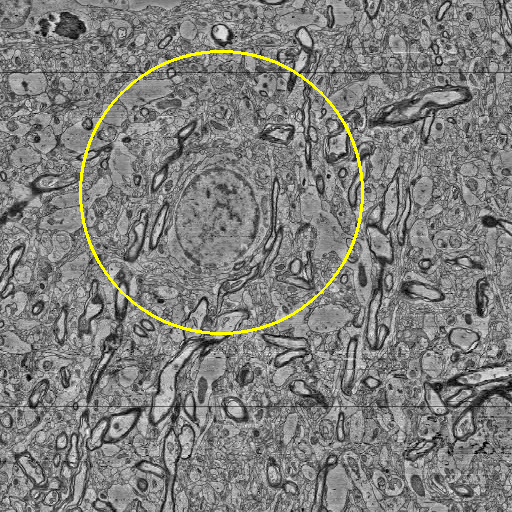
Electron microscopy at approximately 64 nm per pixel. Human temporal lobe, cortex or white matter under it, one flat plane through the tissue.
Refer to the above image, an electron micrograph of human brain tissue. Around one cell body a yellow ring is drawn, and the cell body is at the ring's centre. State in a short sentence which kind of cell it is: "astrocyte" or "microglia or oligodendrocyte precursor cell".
The centre of the ring falls on a microglial cell or oligodendrocyte precursor cell.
